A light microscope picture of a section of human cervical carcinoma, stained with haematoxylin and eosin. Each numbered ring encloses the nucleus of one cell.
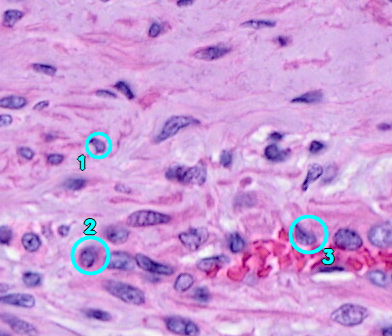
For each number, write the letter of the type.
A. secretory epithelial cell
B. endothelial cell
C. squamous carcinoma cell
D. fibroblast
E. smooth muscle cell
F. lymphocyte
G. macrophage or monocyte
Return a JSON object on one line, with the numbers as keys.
{"1": "E", "2": "E", "3": "B"}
